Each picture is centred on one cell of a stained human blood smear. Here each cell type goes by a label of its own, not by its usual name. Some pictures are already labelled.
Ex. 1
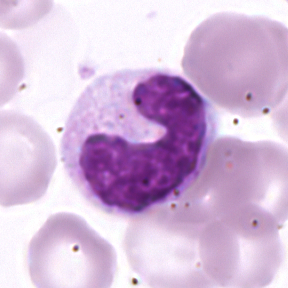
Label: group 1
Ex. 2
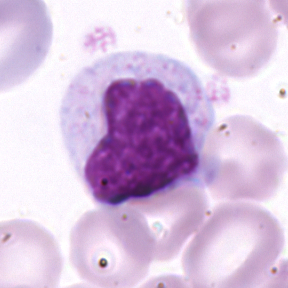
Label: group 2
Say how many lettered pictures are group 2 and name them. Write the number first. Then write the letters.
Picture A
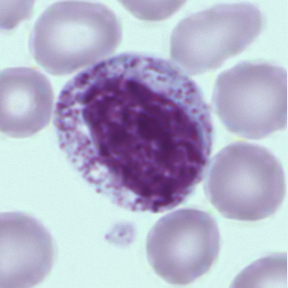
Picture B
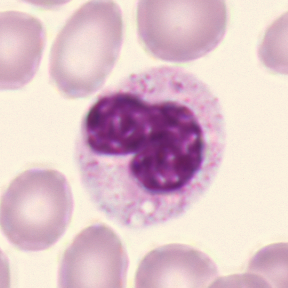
Count: 1 (A)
